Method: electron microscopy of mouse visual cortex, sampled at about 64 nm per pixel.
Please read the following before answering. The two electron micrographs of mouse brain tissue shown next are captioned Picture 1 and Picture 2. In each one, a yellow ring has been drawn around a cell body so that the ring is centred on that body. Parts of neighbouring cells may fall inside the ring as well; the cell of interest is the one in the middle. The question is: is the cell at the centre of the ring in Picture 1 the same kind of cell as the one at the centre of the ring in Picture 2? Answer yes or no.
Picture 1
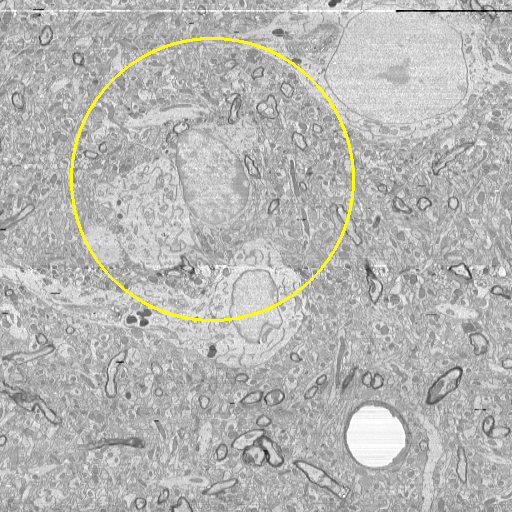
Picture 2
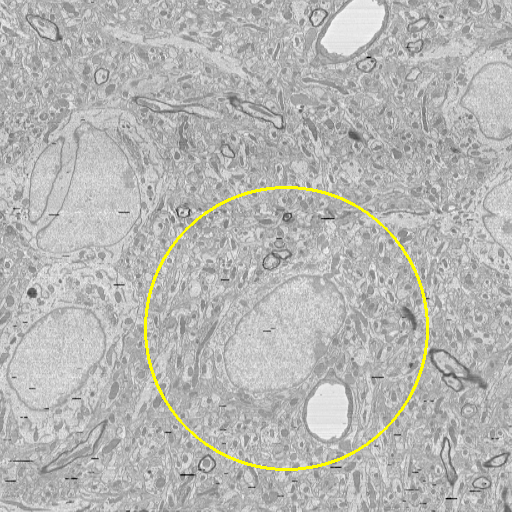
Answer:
no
